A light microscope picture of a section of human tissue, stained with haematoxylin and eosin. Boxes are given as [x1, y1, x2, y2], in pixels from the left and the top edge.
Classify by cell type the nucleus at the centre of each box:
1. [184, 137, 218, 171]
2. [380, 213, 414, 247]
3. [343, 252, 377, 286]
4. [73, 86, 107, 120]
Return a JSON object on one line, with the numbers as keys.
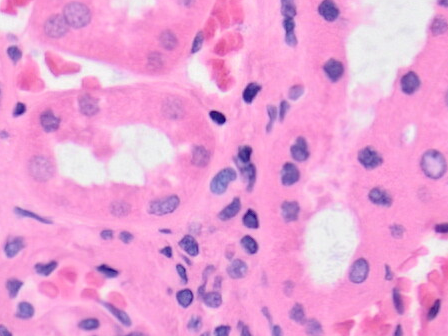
{"1": "proximal tubule cell", "2": "loop of Henle or distal tubule cell", "3": "loop of Henle or distal tubule cell", "4": "proximal tubule cell"}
